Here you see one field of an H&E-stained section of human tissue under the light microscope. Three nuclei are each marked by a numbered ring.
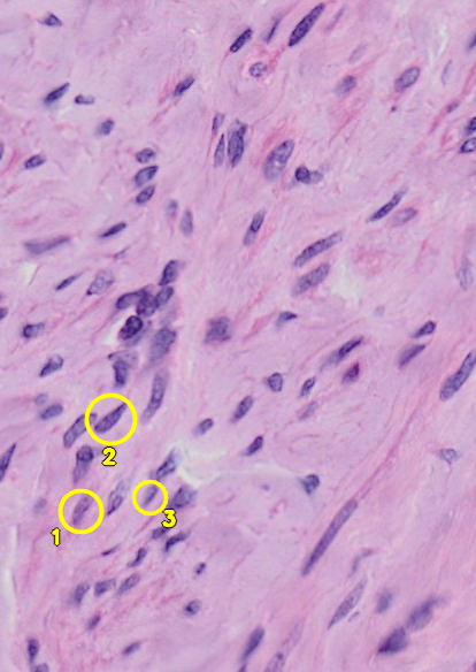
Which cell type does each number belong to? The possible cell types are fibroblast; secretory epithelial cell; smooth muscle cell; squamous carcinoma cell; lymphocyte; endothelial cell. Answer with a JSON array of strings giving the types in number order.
["smooth muscle cell", "fibroblast", "fibroblast"]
